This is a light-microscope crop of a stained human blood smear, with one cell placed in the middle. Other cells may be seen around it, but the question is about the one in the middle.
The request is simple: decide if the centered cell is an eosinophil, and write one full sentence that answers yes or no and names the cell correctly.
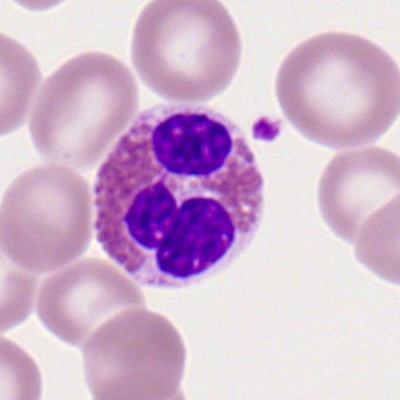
Yes, the cell at the centre of this crop is identified as an eosinophil.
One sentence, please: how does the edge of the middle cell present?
Its surface contour is regular and smooth, without any protrusions.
